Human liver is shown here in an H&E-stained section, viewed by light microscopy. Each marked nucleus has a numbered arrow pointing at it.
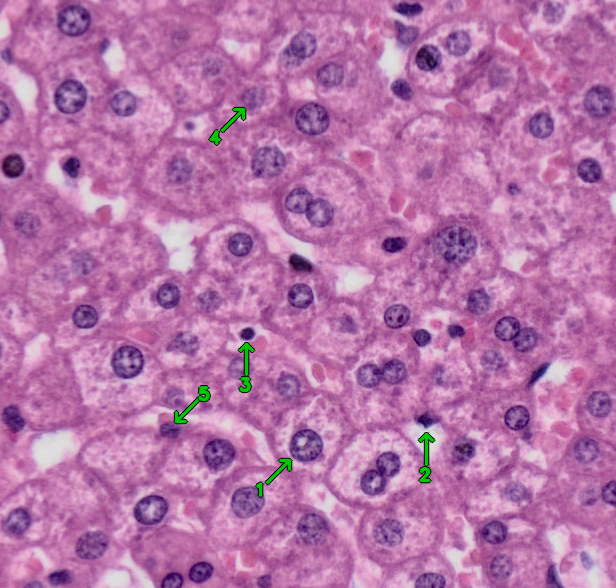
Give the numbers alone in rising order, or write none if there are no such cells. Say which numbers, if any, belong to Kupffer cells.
5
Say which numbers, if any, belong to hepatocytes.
1, 4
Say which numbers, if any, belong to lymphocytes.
3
